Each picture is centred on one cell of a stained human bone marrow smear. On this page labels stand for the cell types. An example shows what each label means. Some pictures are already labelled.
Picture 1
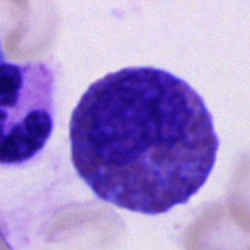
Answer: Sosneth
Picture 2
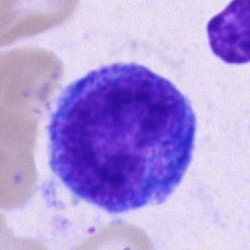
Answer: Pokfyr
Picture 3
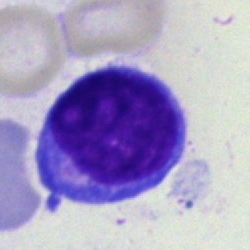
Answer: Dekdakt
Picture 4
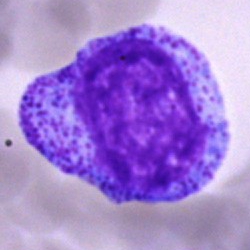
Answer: Pokfyr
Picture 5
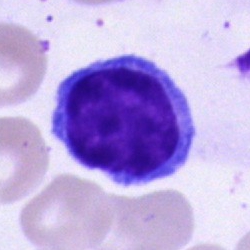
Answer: Dekdakt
